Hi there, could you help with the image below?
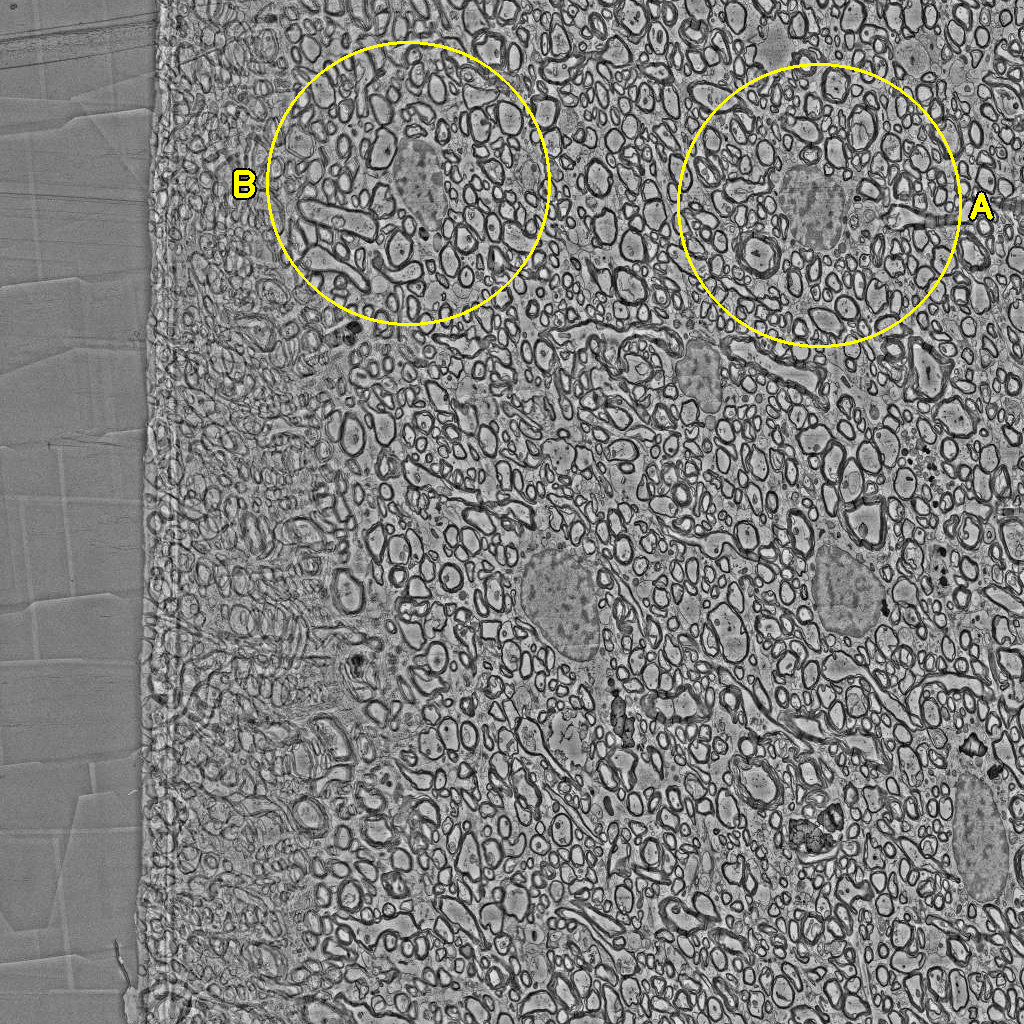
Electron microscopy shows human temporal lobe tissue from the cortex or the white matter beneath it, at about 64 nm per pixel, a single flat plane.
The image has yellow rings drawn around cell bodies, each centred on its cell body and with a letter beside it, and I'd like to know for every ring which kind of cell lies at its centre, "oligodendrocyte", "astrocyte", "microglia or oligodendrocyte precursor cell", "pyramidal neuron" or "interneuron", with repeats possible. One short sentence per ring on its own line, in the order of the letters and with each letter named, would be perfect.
Ring A is placed around an oligodendrocyte.
Ring B is placed around a microglial cell or oligodendrocyte precursor cell.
